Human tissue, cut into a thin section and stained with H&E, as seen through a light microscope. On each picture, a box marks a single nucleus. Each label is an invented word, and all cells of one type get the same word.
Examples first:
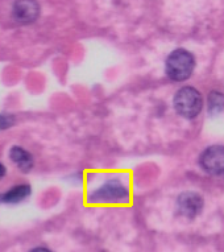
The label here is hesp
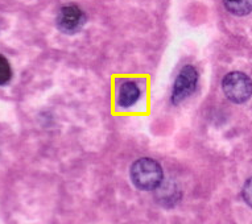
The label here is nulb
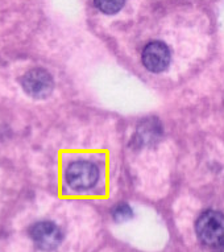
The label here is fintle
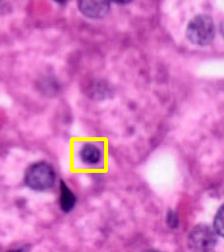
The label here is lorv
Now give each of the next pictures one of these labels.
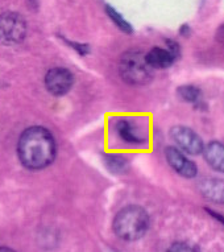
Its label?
nulb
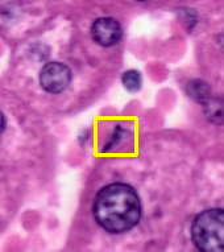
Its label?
hesp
